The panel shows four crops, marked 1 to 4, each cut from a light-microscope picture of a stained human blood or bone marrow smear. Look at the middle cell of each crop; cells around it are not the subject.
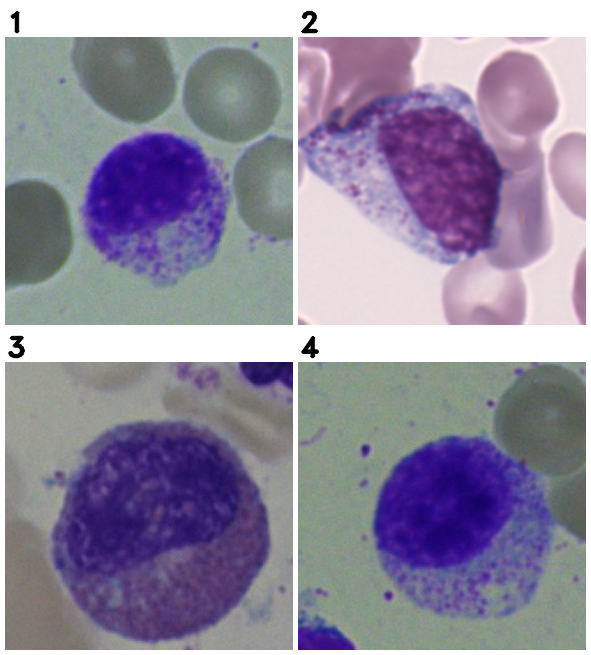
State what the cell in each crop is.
1: myelocyte
2: myelocyte
3: eosinophil
4: myelocyte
